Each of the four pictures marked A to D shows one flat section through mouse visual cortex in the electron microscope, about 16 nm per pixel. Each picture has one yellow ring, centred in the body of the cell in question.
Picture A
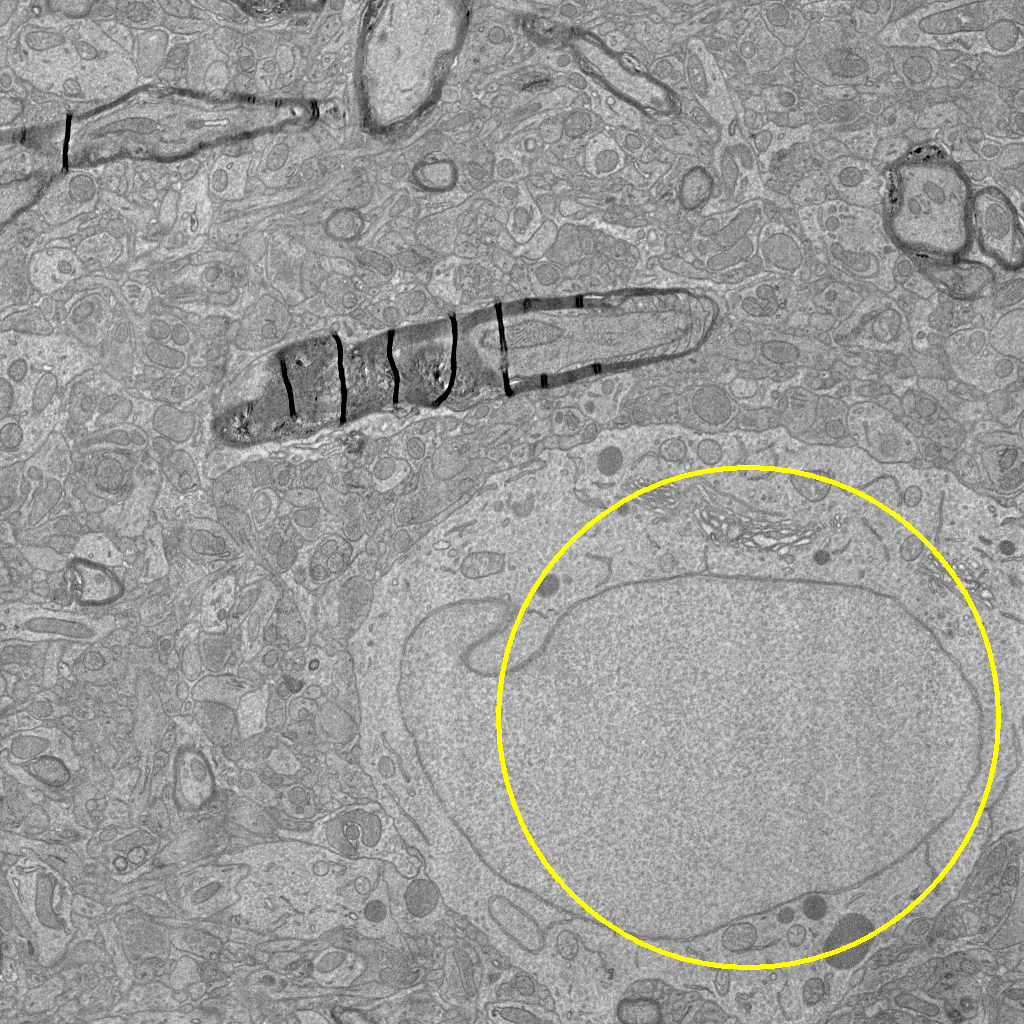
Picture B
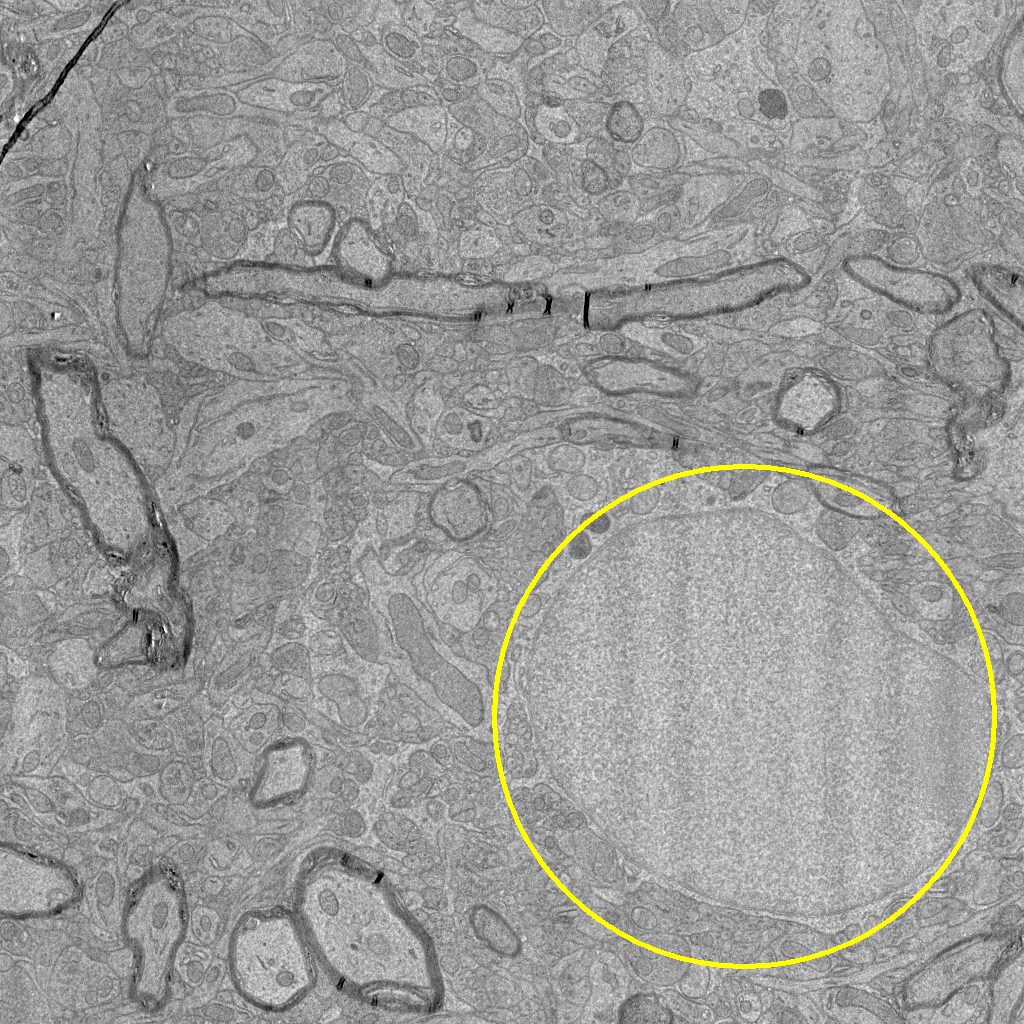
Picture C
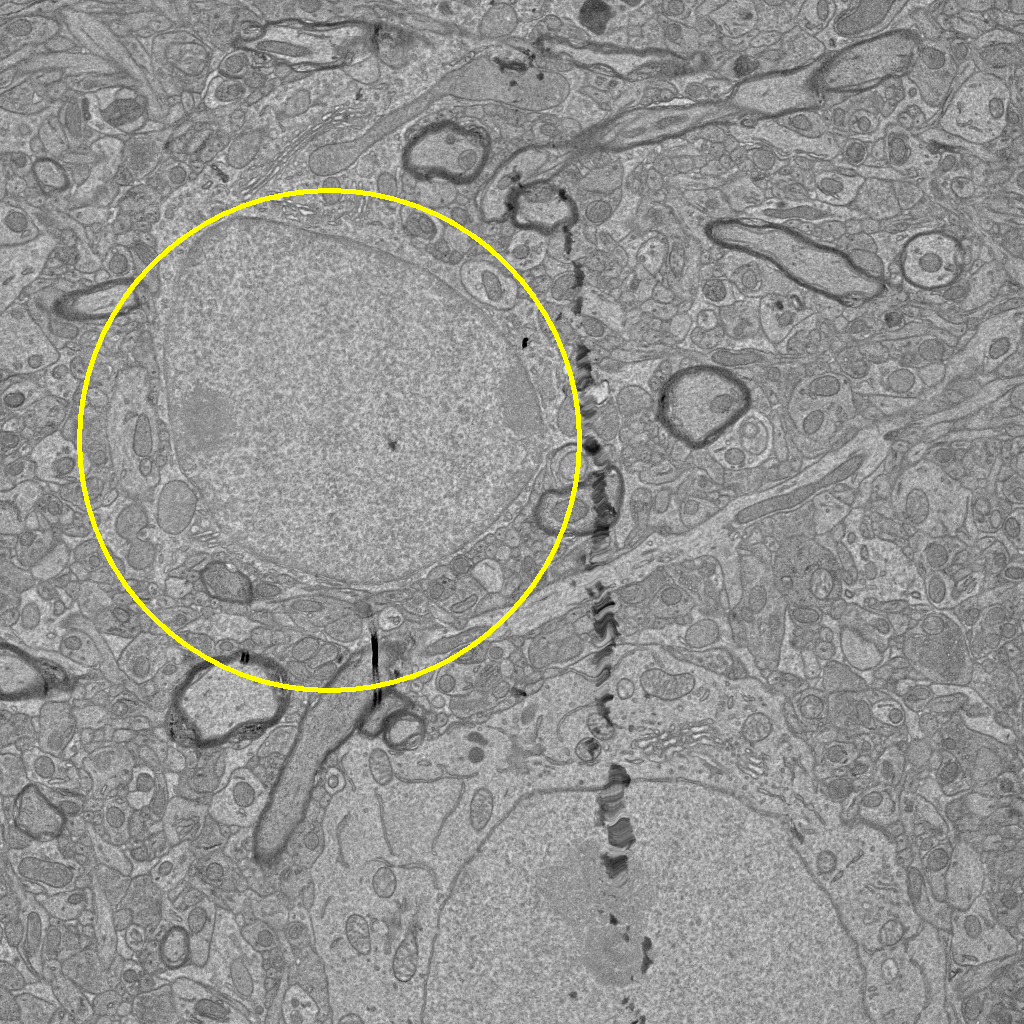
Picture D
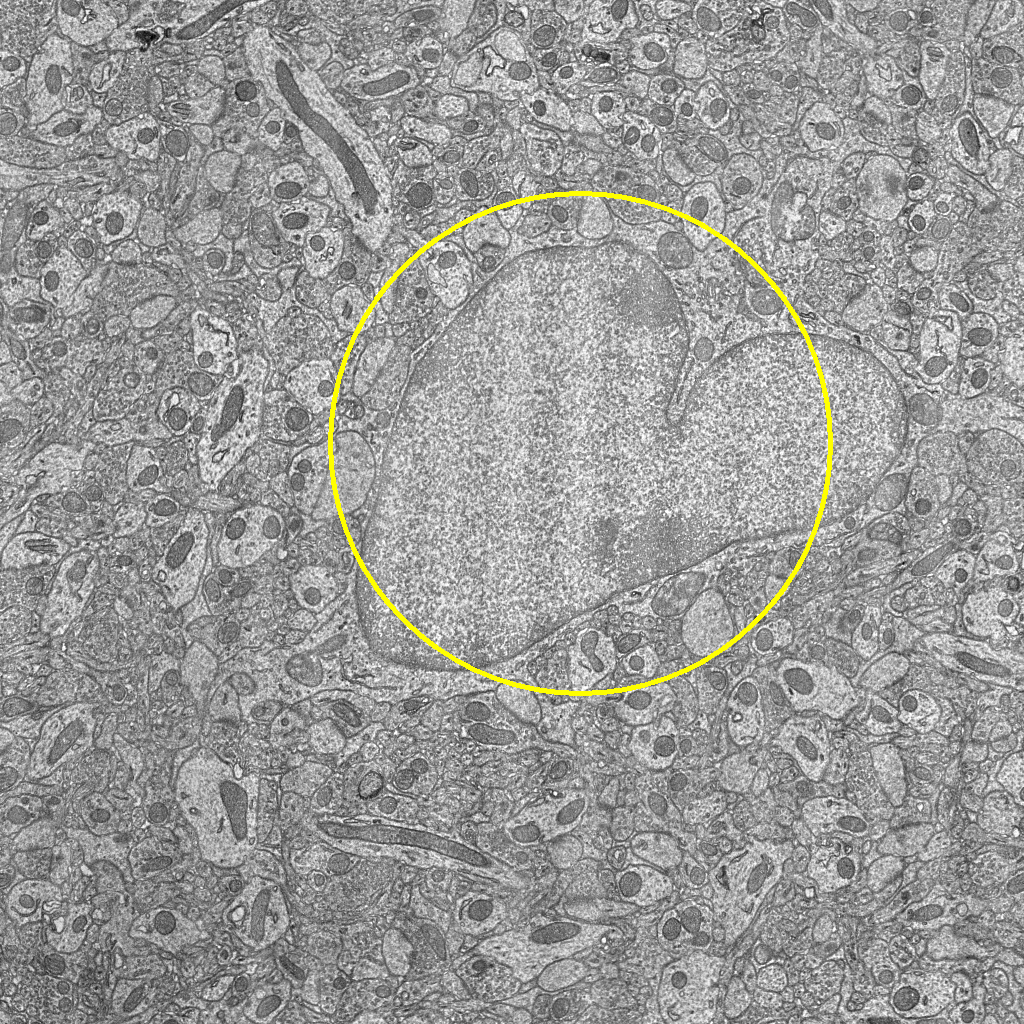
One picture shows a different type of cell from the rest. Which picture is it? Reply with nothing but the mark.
A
